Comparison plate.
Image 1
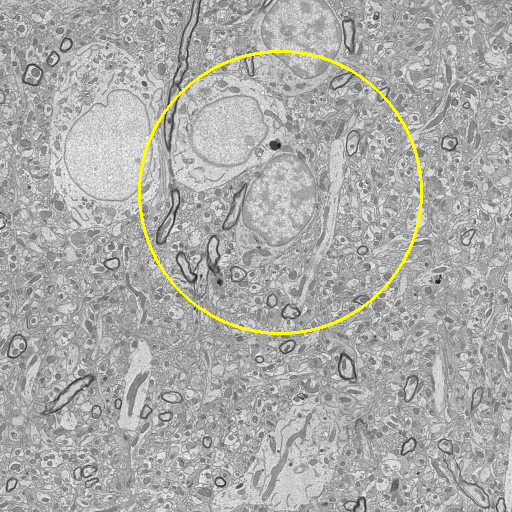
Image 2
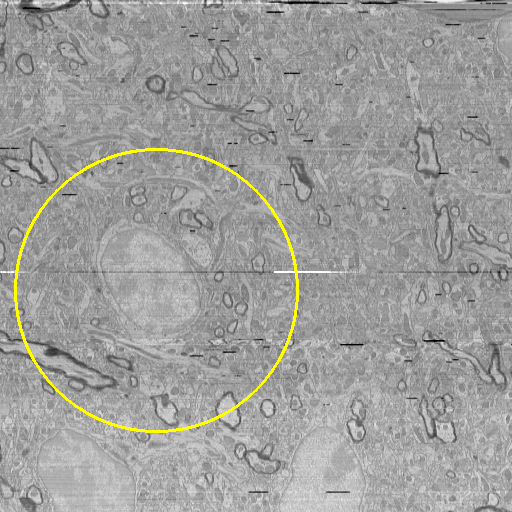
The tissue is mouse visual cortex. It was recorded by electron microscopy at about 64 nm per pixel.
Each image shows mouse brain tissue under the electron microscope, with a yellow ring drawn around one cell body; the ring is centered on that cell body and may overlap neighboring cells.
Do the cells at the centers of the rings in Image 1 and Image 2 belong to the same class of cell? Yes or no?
yes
